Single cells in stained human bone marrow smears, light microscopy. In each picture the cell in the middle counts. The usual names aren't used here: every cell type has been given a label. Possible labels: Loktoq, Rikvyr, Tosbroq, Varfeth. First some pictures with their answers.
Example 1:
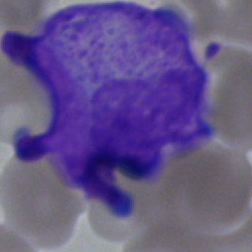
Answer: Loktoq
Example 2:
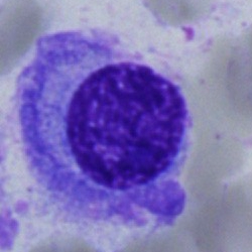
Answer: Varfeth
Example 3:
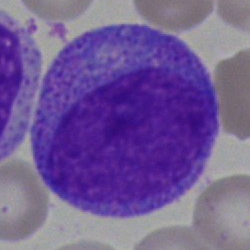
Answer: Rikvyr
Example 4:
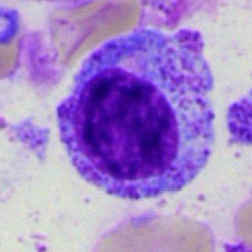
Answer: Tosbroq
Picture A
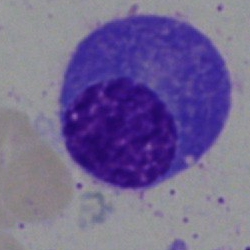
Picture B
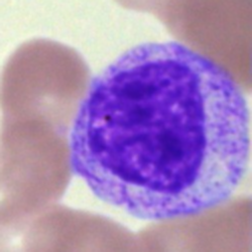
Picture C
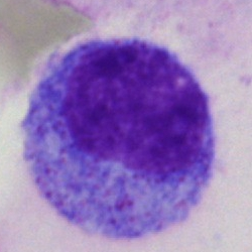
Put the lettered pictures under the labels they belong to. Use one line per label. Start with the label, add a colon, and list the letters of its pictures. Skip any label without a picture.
Rikvyr: C
Tosbroq: B
Varfeth: A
